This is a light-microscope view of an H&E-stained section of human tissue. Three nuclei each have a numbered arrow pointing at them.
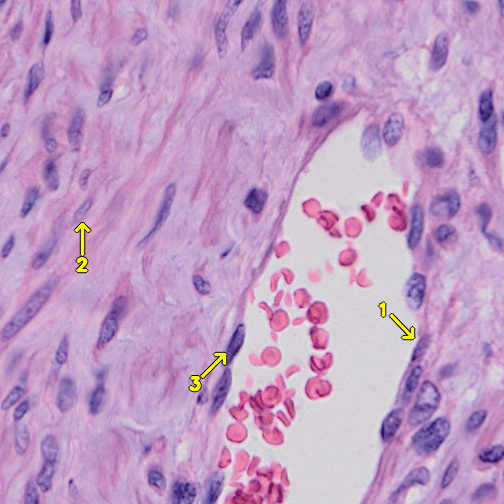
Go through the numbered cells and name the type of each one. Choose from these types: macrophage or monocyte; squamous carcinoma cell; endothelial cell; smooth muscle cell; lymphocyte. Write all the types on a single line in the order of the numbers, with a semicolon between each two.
endothelial cell; smooth muscle cell; endothelial cell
